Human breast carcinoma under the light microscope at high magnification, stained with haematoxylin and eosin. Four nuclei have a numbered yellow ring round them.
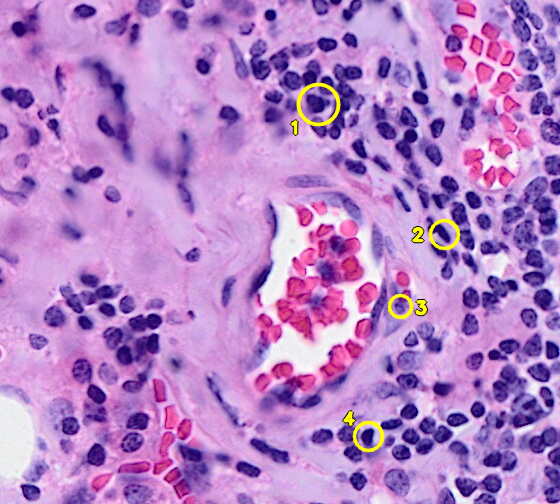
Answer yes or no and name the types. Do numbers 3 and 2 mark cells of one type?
No, cell 3 is interpreted as an endothelial cell, and cell 2 is interpreted as a lymphocyte.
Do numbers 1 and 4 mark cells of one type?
Yes, that is correct, cells 1 and 4 are both lymphocytes.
